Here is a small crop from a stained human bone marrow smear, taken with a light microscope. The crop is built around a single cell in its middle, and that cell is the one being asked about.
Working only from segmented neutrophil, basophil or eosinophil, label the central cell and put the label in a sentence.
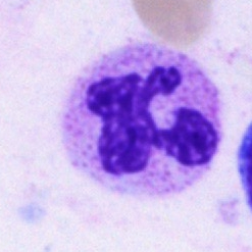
What sits at the centre of this crop is a segmented neutrophil.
